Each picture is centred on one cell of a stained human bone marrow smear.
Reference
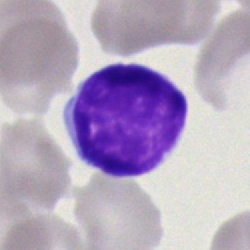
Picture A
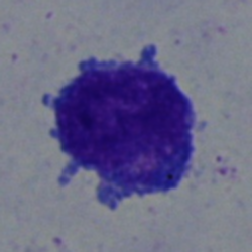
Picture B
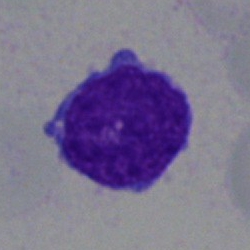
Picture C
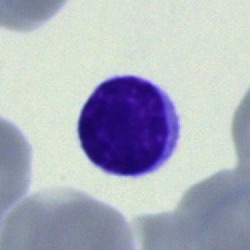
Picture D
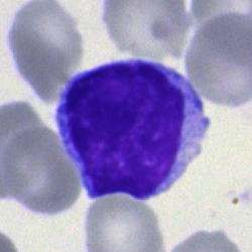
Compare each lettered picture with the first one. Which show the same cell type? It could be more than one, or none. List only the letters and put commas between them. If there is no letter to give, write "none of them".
C, D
